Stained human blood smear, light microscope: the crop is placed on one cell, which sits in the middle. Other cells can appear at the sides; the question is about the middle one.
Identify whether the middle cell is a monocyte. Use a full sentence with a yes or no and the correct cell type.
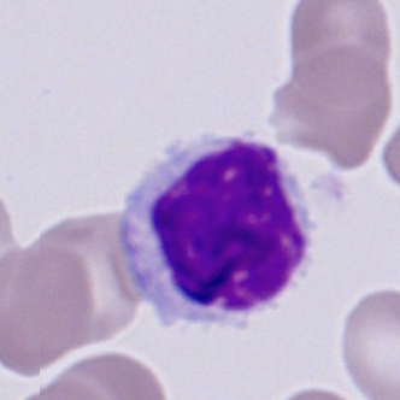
No, the central cell is properly termed a lymphocyte, not a monocyte.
